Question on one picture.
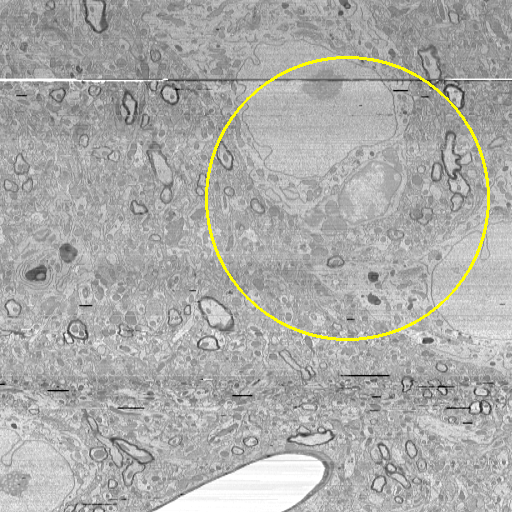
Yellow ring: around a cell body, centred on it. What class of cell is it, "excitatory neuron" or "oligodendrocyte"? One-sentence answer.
This is an oligodendrocyte, the cell the ring is centred on.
